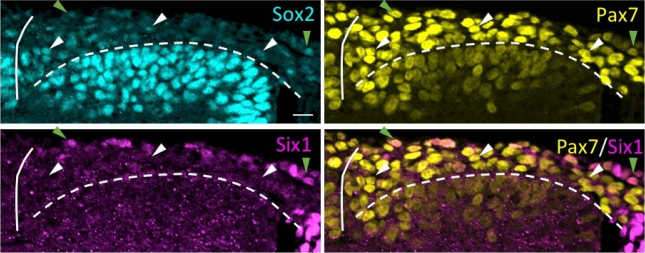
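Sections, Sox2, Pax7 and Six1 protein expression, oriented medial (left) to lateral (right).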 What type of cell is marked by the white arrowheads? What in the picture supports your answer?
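The marked nuclei lie above the dashed curve, outside the densely packed tube. The marked nuclei are scattered between the tube and the surface layer.
Conclusion: delaminated neural crest cells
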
